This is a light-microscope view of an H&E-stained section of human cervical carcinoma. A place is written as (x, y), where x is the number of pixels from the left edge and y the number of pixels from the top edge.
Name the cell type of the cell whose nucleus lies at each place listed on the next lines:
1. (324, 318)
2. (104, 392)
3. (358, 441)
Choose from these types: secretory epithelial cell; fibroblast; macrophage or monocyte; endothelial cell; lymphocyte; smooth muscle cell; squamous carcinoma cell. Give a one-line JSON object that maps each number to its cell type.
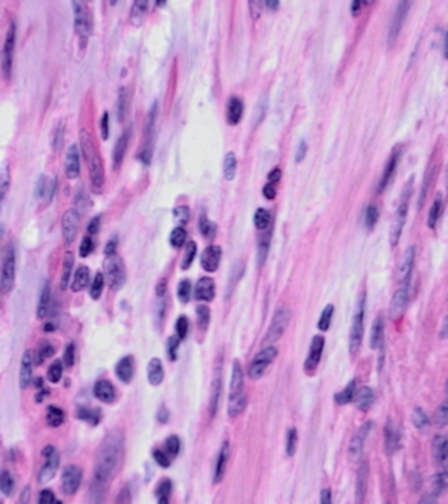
{"1": "lymphocyte", "2": "lymphocyte", "3": "endothelial cell"}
